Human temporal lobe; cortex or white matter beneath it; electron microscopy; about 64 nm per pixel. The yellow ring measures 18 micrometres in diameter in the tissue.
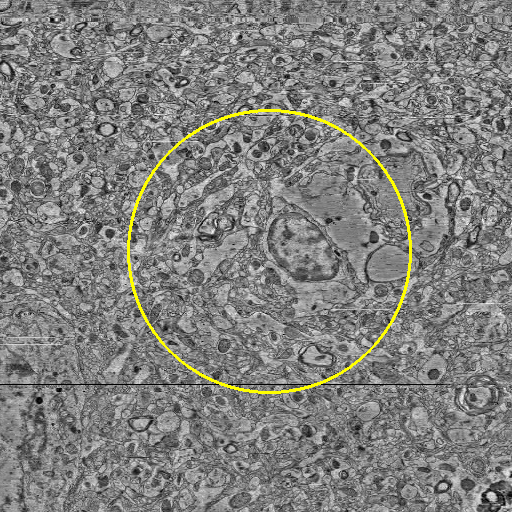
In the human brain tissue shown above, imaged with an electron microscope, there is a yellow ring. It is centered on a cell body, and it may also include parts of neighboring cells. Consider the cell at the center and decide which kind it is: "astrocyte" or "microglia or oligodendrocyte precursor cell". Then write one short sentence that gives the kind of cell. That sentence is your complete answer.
This centered cell body is that of a microglial cell or oligodendrocyte precursor cell.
